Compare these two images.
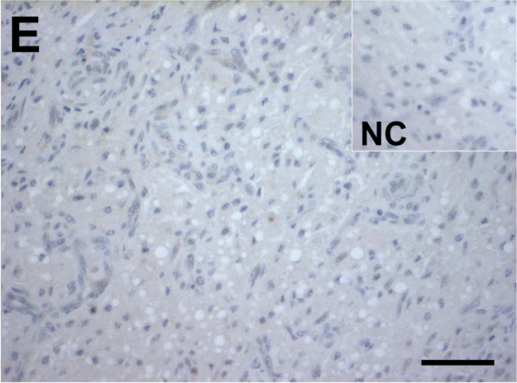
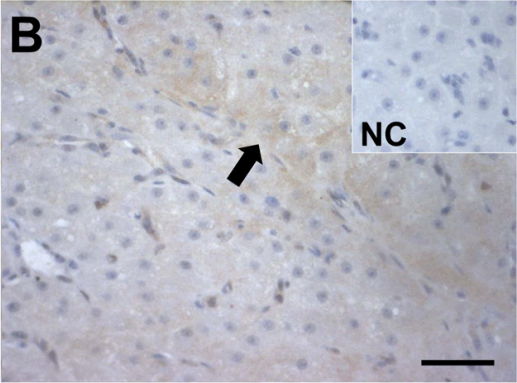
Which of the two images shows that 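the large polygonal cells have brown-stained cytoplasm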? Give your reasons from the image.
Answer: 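The second image. First image: cells and fibrous tissue are blue-grey, with hardly any brown. Second image: the large polygonal cells show a diffuse light brown cytoplasmic stain.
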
